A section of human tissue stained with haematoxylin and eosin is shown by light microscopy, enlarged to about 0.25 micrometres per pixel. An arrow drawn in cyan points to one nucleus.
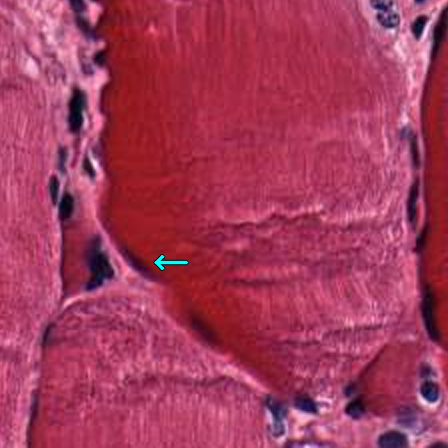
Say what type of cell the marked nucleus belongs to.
skeletal muscle fibre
